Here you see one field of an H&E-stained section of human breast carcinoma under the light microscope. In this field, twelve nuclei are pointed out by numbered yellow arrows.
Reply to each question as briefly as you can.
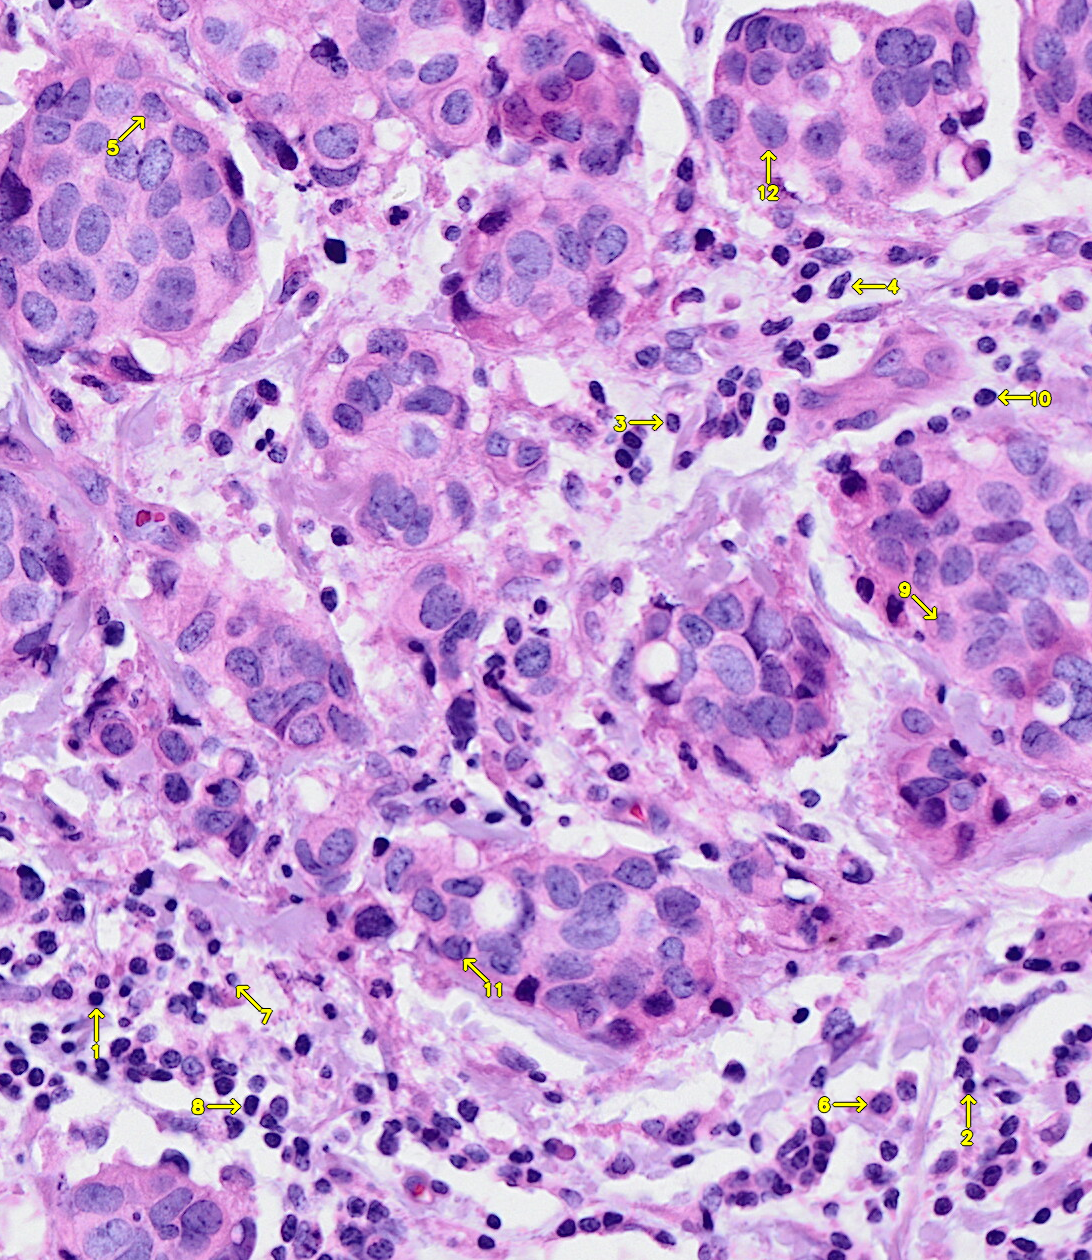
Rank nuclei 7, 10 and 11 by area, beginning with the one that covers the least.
7, 10, 11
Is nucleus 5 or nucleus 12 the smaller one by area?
5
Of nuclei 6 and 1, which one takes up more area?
6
